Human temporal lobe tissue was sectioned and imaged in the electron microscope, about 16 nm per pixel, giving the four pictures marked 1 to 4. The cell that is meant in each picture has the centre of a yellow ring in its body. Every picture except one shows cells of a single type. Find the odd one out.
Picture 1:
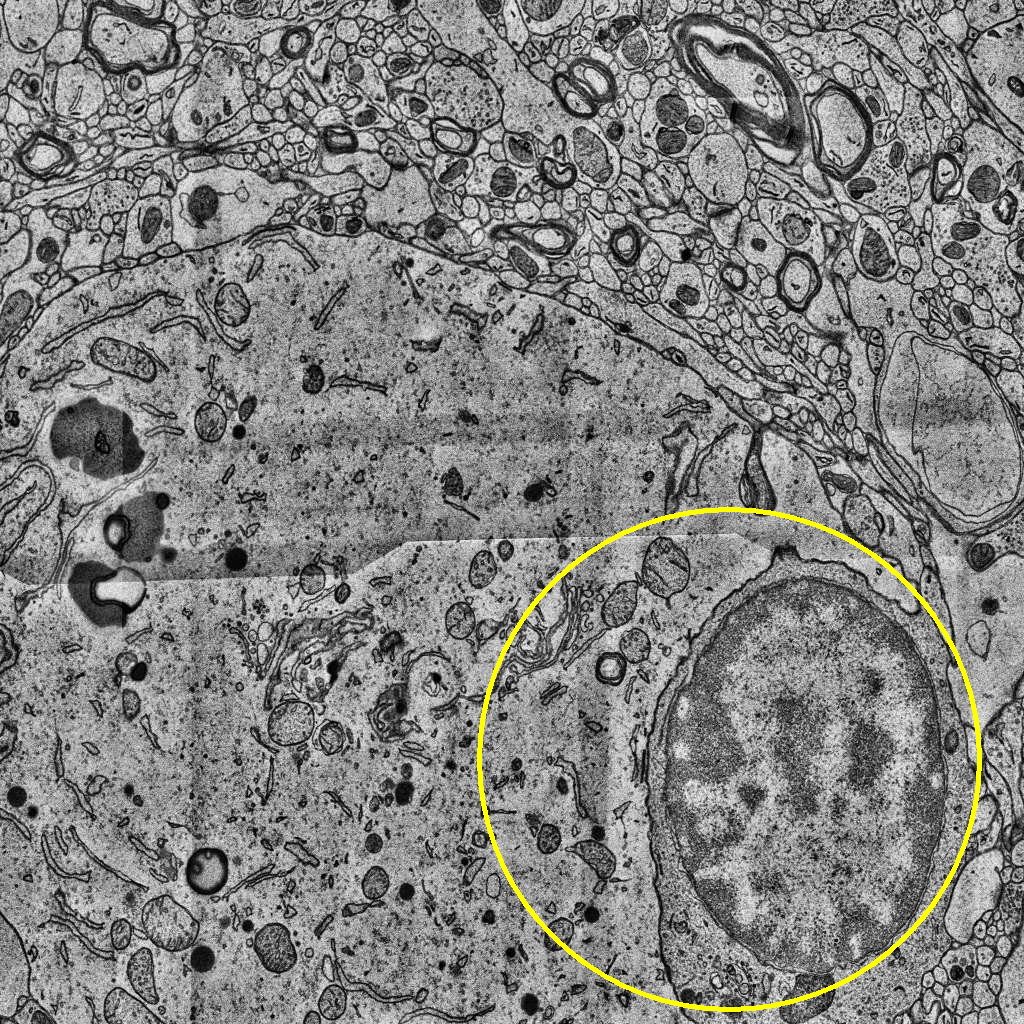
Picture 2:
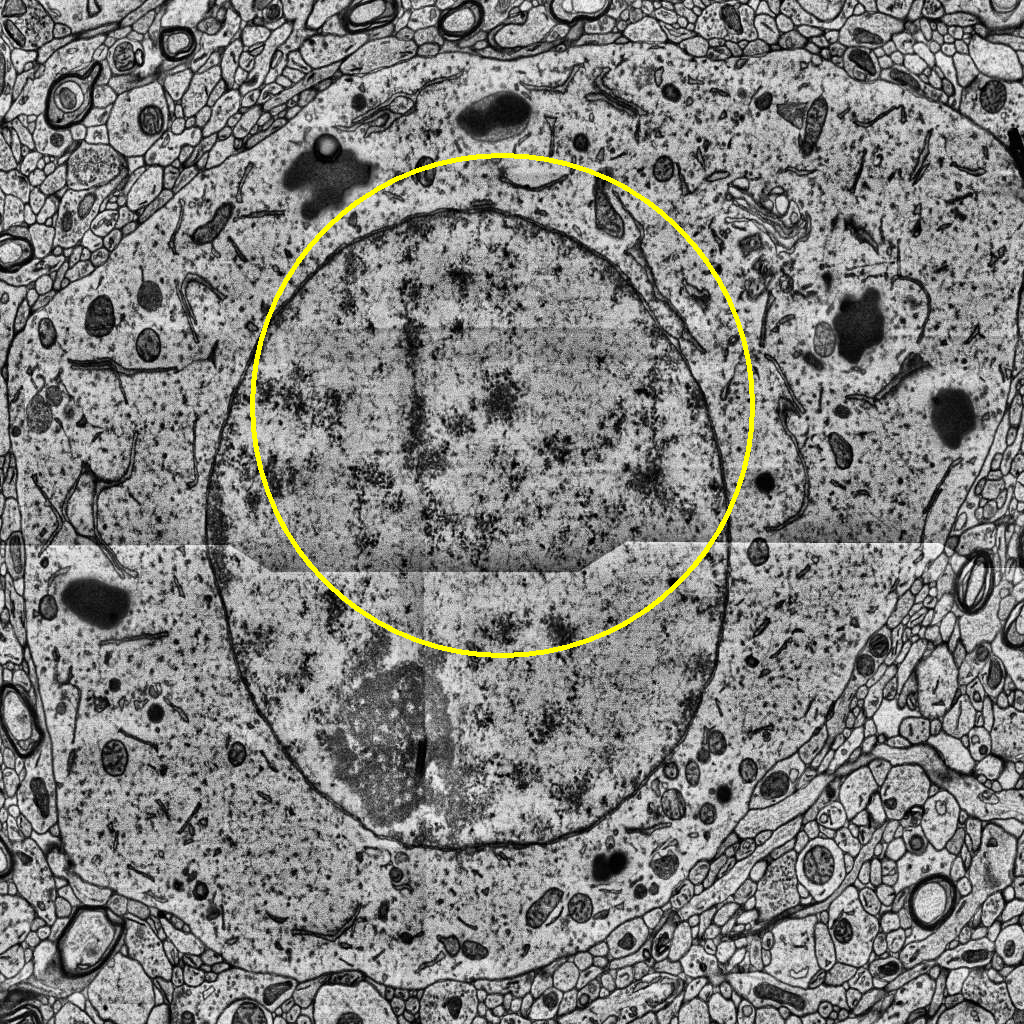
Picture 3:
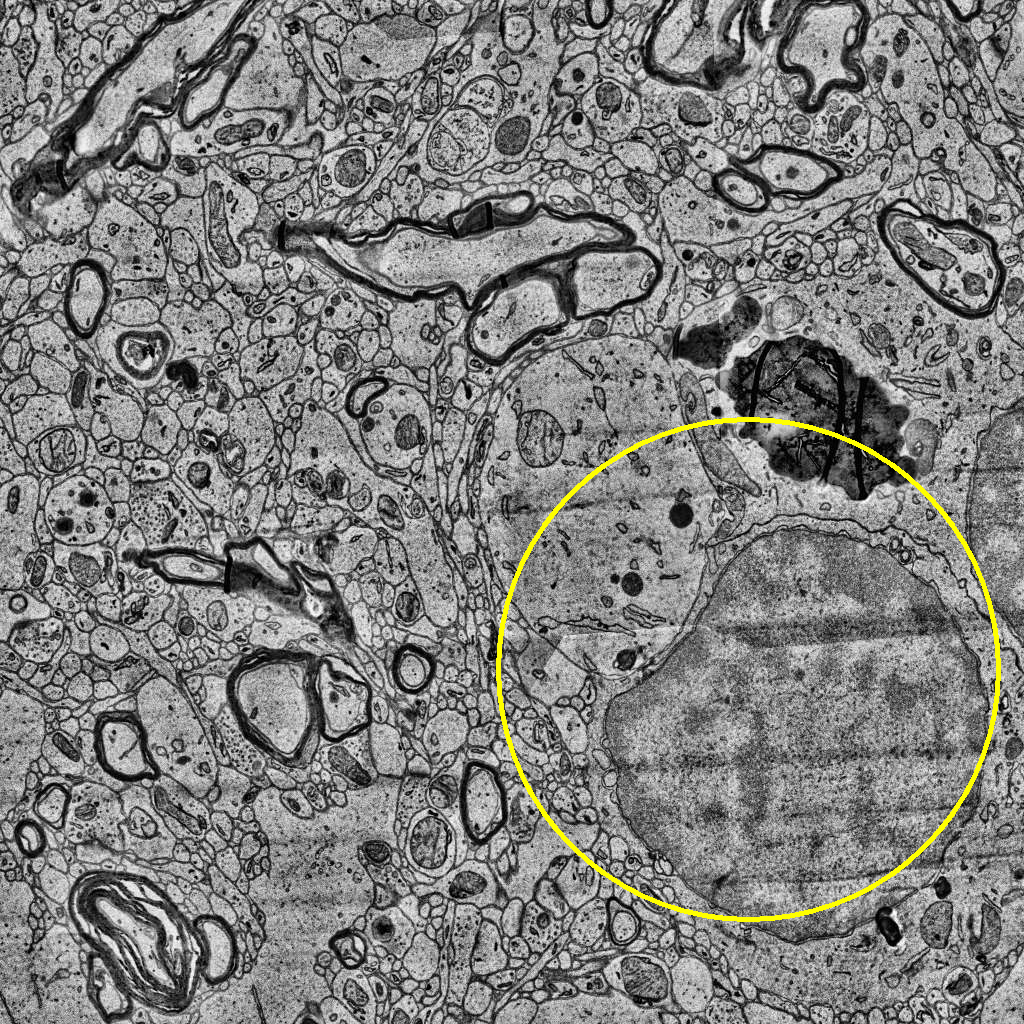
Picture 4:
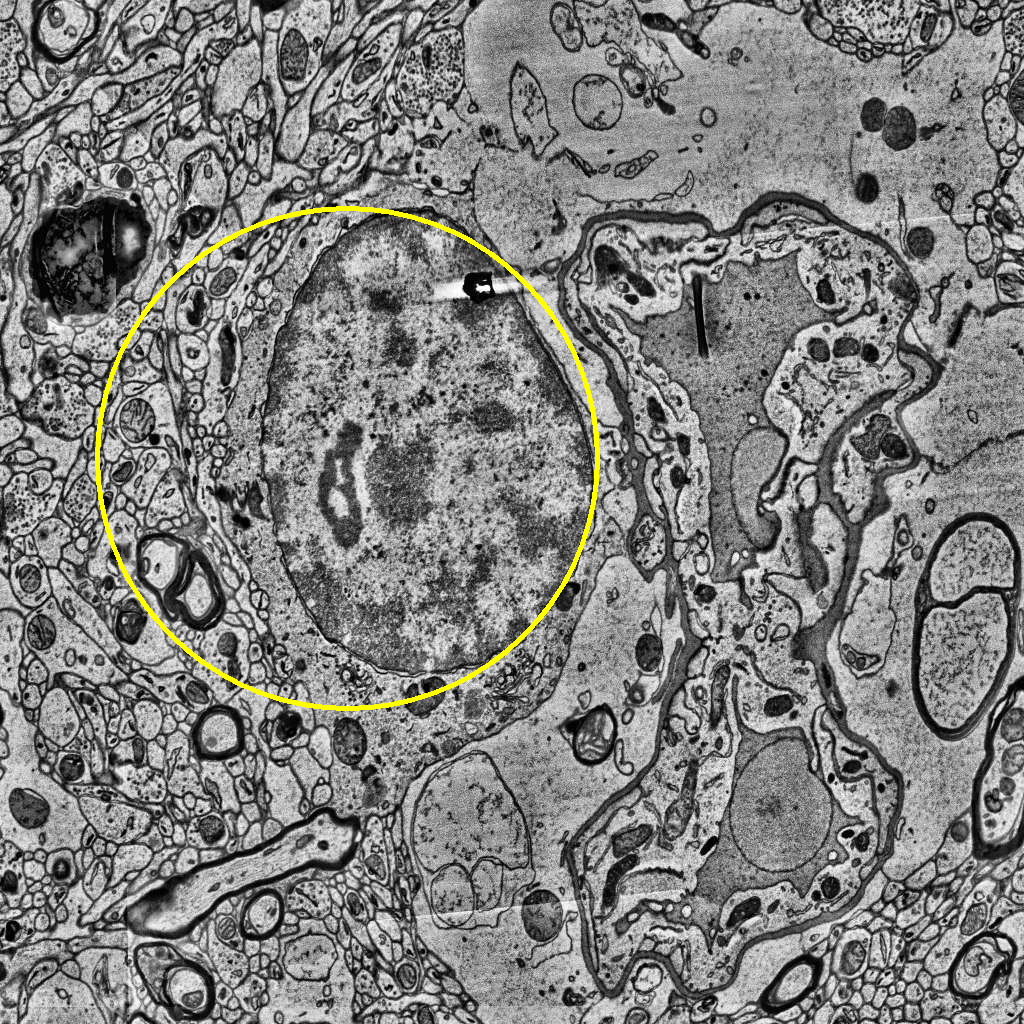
All pictures except 2 show oligodendrocytes; picture 2 shows a pyramidal neuron.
